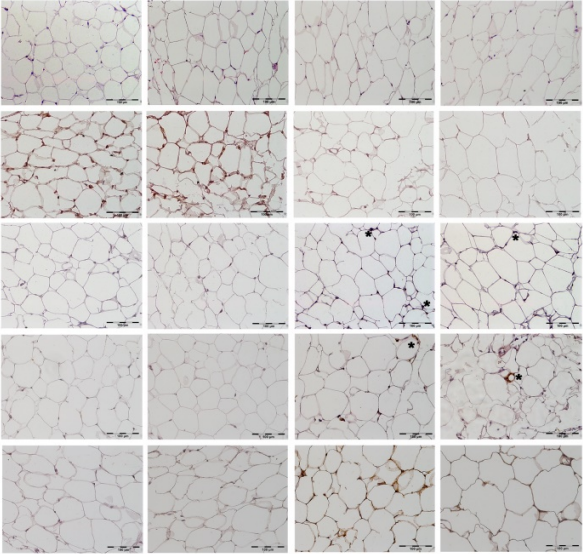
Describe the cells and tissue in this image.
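A grid of sections of fat tissue shows large, empty-looking polygonal cells with thin pink-purple rims, packed in a honeycomb, with only scattered flattened nuclei at their edges. In the stained rows, brown staining outlines the thin cell rims in some sections, while in others small brown cells lie scattered between the fat cells, a few of them marked by asterisks. These are adipocytes of white adipose tissue with a sparse interstitial cell infiltrate.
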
